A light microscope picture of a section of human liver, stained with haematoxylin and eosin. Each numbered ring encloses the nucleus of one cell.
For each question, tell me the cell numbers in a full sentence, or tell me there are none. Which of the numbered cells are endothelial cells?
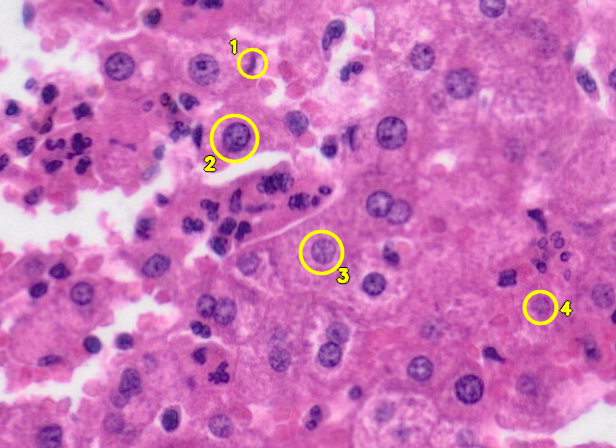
Just one numbered cell is an endothelial cell, and that cell is number 1.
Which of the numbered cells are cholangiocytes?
Found among the numbered cells are no cholangiocytes.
